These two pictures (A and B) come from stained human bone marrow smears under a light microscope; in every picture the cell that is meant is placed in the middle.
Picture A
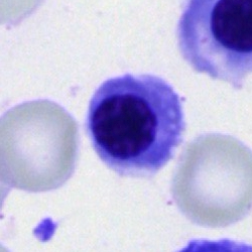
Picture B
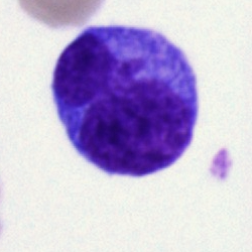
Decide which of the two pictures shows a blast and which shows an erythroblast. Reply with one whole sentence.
In picture A the cell is an erythroblast; in picture B, a blast.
